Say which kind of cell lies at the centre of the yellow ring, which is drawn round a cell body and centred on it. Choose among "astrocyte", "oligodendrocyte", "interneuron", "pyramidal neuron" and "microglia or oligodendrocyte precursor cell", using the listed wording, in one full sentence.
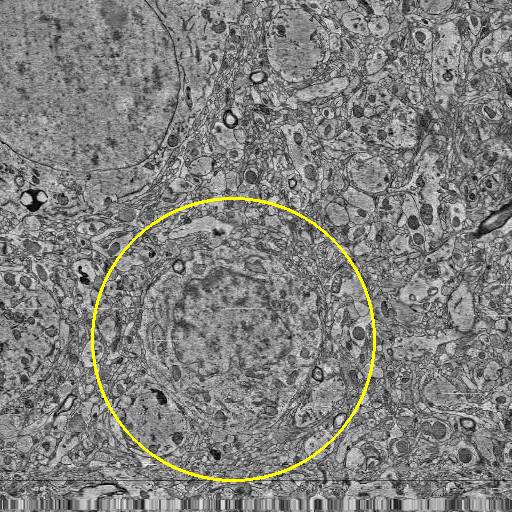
Going by the list, the cell at the yellow ring's centre is an interneuron.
